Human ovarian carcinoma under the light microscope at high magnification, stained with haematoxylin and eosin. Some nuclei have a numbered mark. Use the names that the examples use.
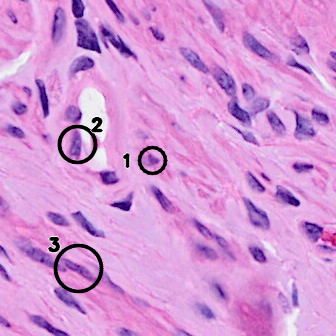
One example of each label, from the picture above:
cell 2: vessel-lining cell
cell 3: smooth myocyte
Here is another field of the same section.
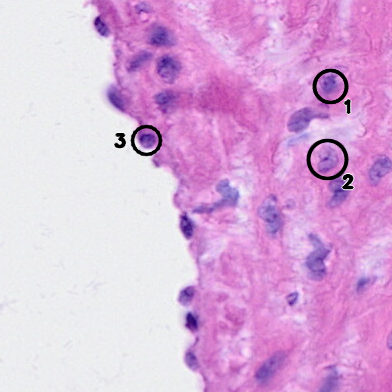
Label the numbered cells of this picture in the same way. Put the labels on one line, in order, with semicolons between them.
smooth myocyte; smooth myocyte; vessel-lining cell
